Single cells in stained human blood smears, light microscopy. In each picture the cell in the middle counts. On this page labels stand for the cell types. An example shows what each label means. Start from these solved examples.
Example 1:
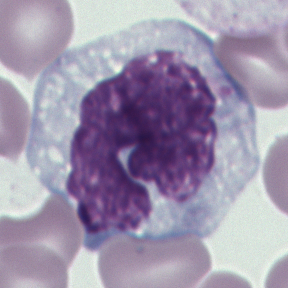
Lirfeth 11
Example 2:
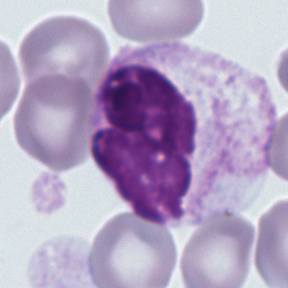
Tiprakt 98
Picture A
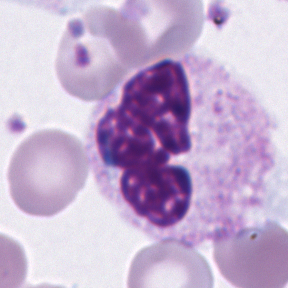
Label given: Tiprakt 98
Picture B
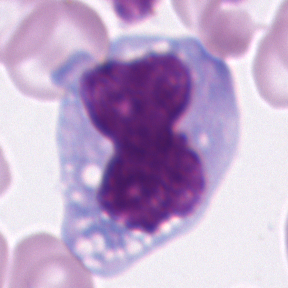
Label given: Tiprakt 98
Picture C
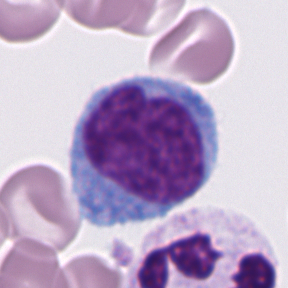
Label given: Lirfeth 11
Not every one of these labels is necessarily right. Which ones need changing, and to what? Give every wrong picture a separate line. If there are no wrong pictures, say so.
B: Lirfeth 11, not Tiprakt 98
